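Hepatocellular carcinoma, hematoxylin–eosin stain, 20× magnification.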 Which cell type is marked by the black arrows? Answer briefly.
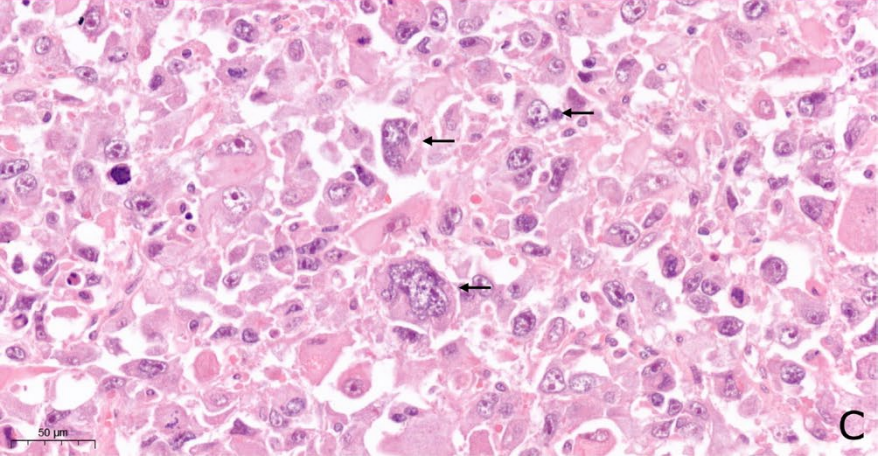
Intratumoral giant cells with atypical nuclei.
